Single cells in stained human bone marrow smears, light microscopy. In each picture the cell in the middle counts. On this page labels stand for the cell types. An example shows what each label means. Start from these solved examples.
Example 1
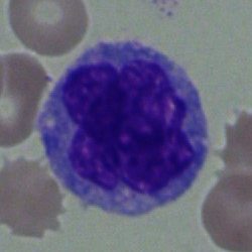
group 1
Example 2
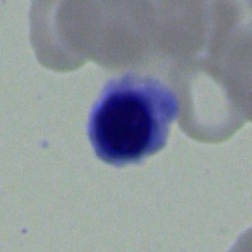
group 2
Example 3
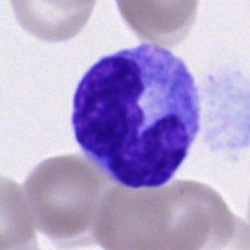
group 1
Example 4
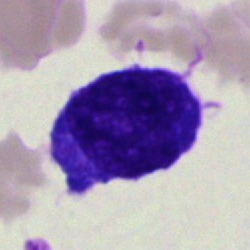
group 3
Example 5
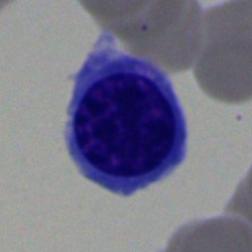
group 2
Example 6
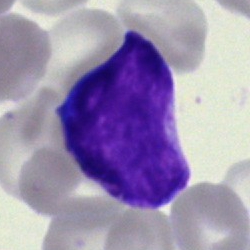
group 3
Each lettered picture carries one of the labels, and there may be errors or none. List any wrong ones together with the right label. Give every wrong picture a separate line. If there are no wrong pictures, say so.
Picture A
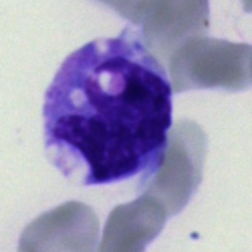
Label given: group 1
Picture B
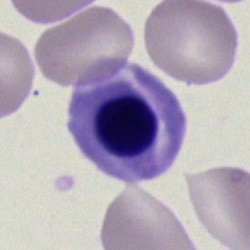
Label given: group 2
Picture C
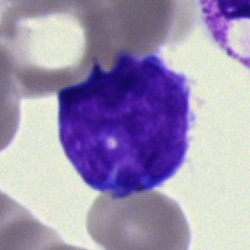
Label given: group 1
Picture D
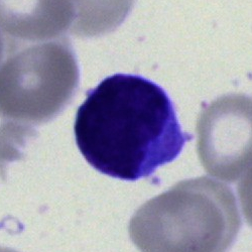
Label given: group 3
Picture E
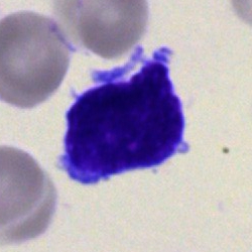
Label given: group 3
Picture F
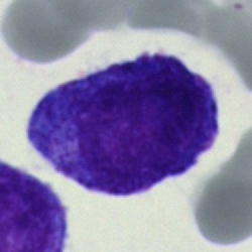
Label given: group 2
C: group 3, not group 1
F: group 3, not group 2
